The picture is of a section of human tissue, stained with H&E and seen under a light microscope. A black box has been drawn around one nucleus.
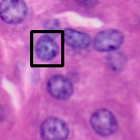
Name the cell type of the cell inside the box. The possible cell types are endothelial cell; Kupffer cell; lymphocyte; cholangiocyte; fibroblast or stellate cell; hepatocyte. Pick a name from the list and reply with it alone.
cholangiocyte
